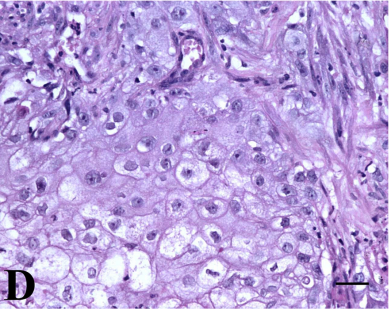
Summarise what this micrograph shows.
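Nest of large carcinoma cells showing squamous differentiation, hematoxylin and eosin. The tumour cells are polygonal with abundant pale pink to clear, sometimes vacuolated cytoplasm and sharp cell borders. Nuclei are round to oval, vesicular, with visible nucleoli and moderate variation in size. Cells lie in a cohesive sheet. Along the right and upper edges run strands of fibrous stroma with elongated spindle-shaped nuclei, which border the tumour nest.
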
